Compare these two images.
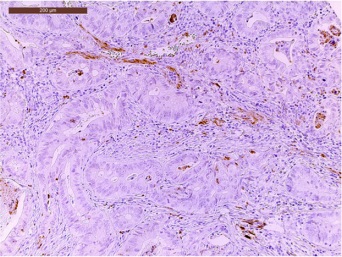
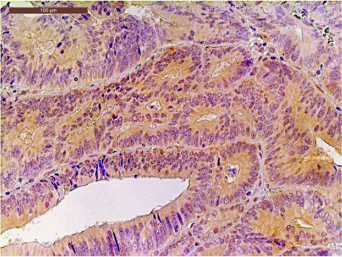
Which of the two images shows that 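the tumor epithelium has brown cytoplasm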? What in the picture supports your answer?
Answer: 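Second image: tumor epithelial cells have brown-tinged cytoplasm. First image: tumor glands are blue-purple with only scattered brown in stroma. On this evidence: the second image.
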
